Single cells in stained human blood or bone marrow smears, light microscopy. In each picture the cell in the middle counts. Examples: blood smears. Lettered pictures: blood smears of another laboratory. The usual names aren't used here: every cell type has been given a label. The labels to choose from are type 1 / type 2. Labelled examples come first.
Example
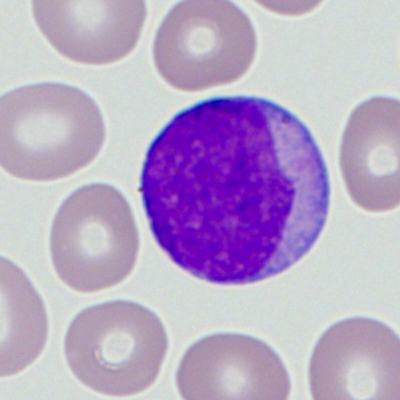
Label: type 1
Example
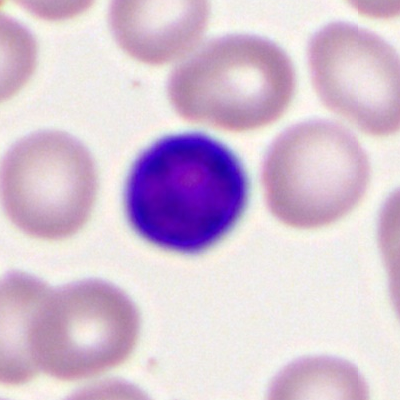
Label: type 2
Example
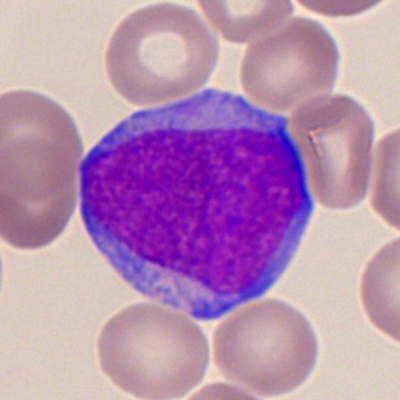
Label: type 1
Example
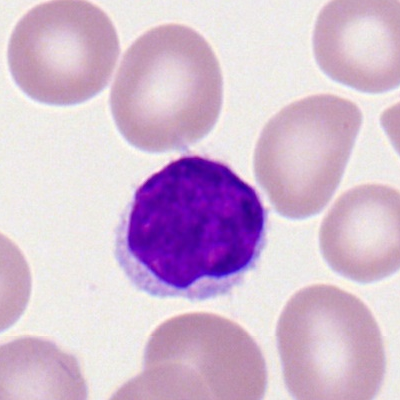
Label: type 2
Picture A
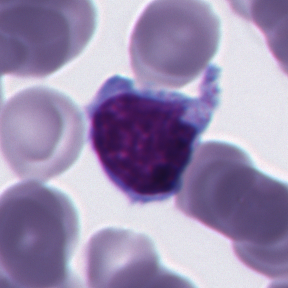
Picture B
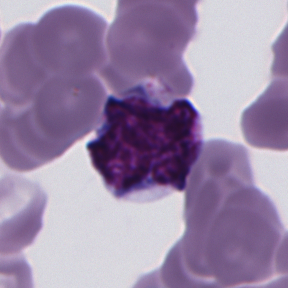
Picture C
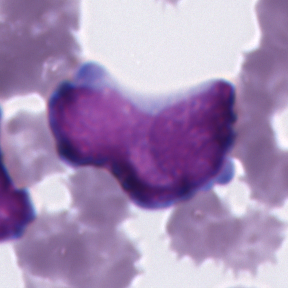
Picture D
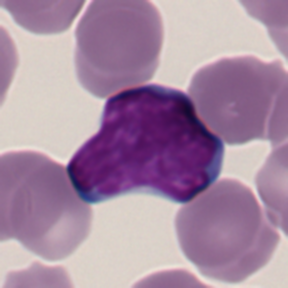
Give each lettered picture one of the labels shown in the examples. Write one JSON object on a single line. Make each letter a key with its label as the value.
{"A": "type 2", "B": "type 1", "C": "type 1", "D": "type 2"}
